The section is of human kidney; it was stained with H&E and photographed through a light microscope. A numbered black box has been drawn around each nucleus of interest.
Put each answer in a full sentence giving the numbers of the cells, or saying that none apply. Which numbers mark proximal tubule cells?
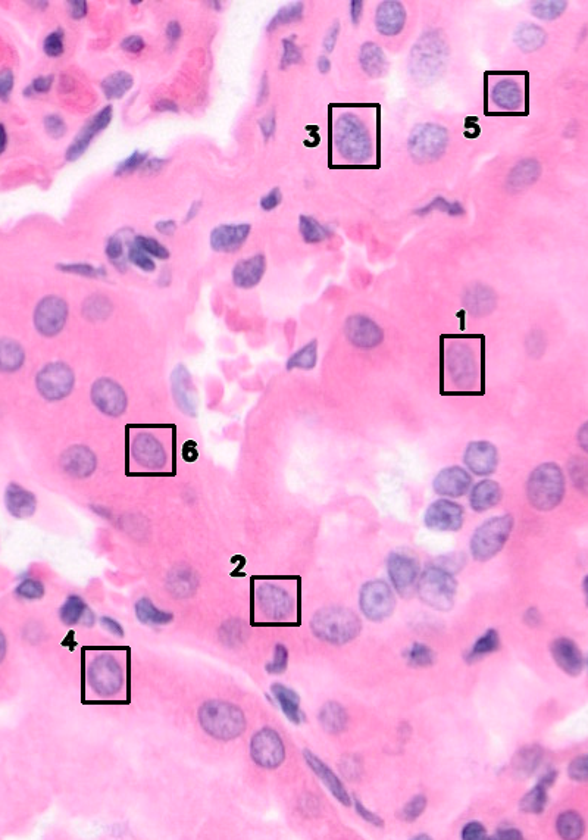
The cells whose numbers are 1, 2, 4 and 6 are proximal tubule cells.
